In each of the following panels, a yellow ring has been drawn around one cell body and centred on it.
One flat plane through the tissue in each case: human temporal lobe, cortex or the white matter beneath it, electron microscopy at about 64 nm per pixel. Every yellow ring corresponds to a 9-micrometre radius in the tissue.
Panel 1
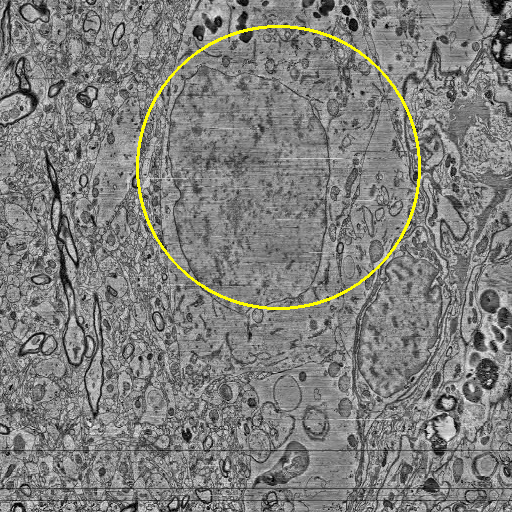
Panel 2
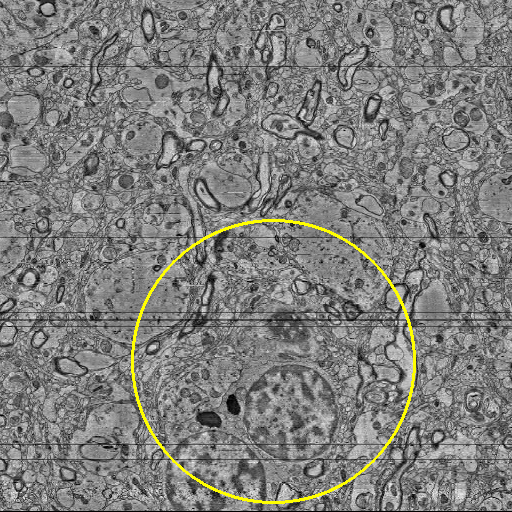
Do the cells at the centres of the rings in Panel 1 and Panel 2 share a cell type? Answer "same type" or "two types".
two types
